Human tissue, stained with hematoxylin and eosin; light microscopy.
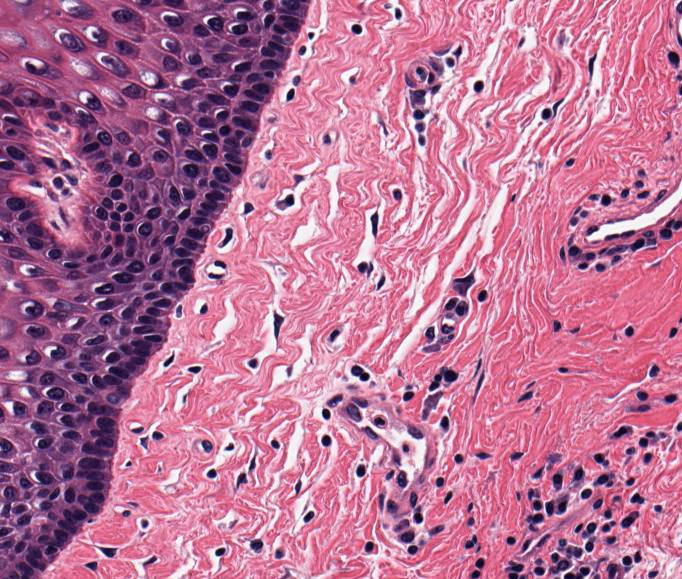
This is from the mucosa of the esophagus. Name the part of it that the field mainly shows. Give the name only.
loose connective tissue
